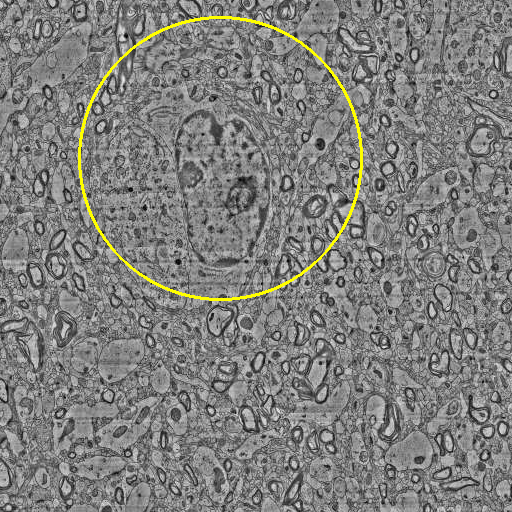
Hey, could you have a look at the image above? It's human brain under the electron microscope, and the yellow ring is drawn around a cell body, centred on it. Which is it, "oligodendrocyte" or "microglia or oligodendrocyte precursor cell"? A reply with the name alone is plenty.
microglia or oligodendrocyte precursor cell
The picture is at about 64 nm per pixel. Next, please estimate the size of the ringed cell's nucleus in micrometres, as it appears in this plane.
Clearly longer than it is wide in this plane, the nucleus measures roughly 10 by 6 micrometres.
